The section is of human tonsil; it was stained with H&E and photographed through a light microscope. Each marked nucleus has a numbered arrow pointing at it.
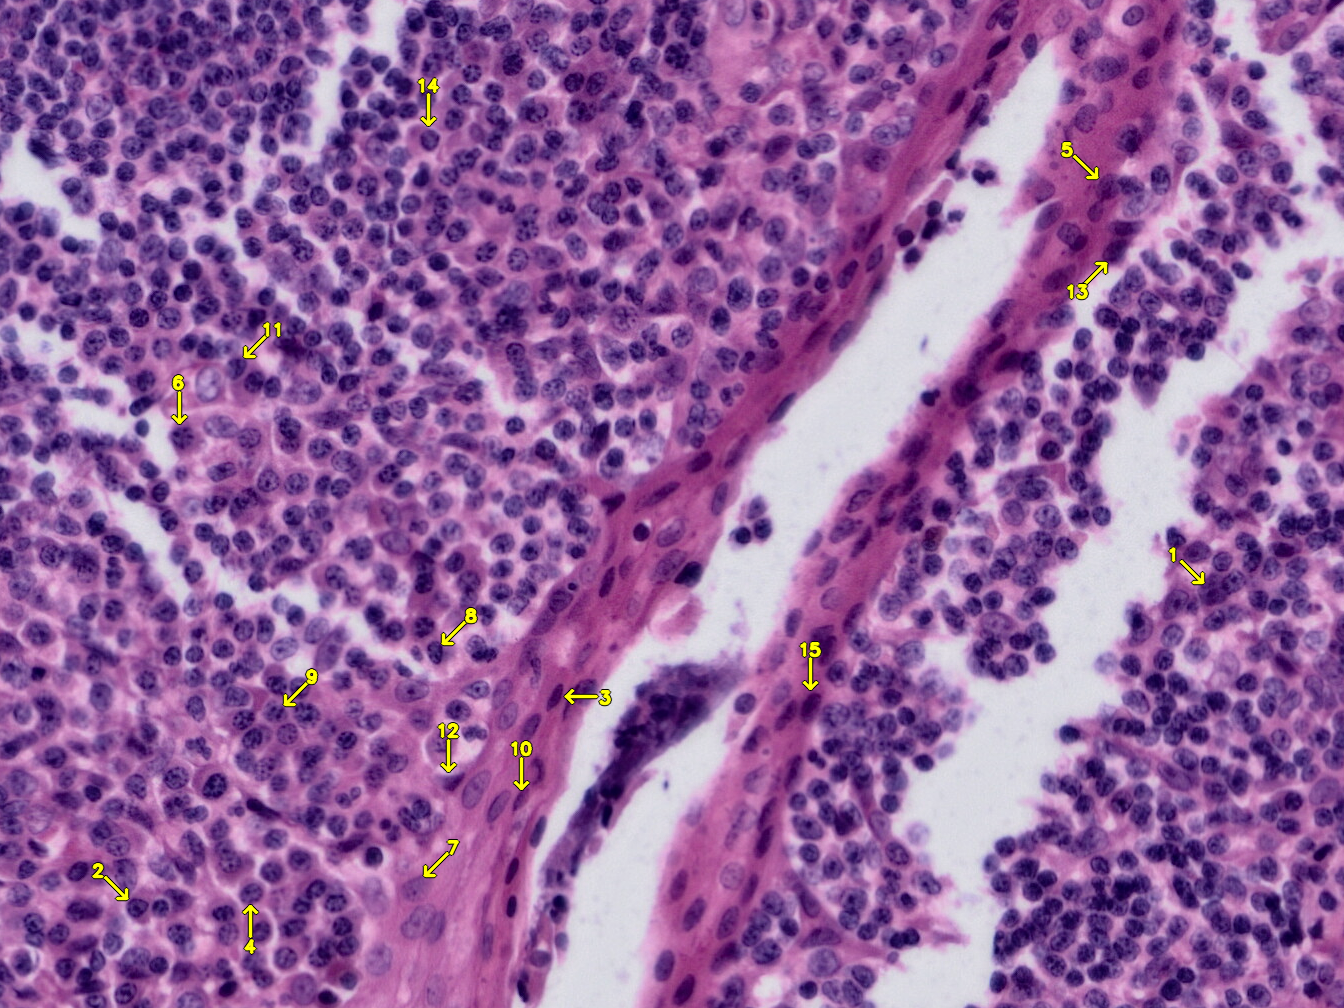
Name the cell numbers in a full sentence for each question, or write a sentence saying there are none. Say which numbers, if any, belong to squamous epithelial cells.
The cells marked with the numbers 1, 3, 5, 7, 10, 12, 13 and 15 are squamous epithelial cells.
